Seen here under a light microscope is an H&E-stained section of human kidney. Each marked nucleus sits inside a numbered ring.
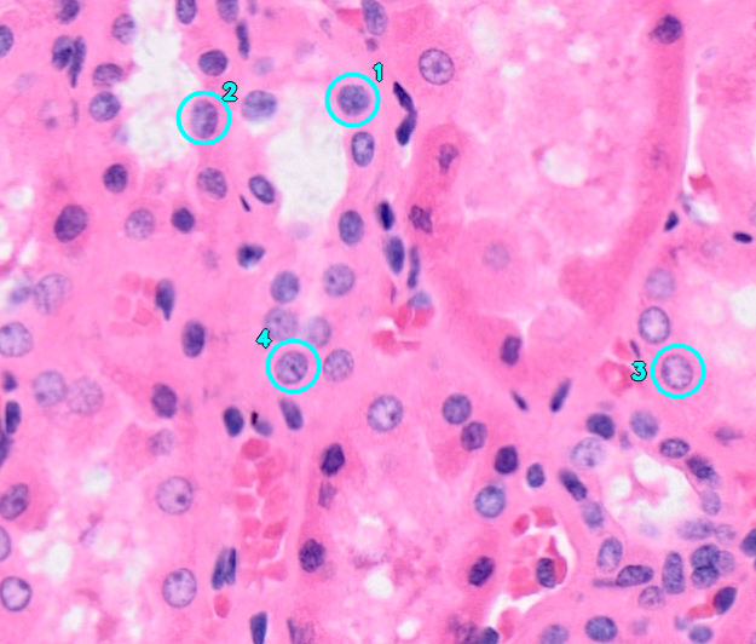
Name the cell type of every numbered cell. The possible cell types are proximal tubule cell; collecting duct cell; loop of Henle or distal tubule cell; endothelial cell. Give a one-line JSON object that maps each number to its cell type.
{"1": "loop of Henle or distal tubule cell", "2": "loop of Henle or distal tubule cell", "3": "proximal tubule cell", "4": "loop of Henle or distal tubule cell"}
